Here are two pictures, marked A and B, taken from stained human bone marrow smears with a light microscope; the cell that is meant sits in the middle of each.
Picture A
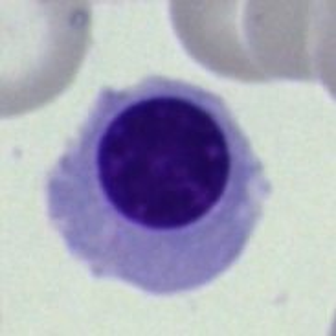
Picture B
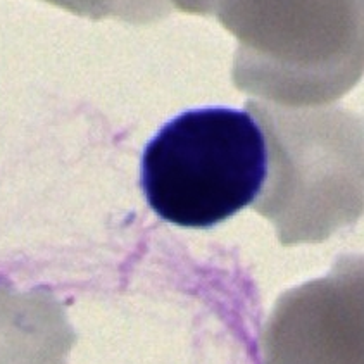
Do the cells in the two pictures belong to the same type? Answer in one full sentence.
No, they differ: the cell is an erythroblast in picture A and a lymphocyte in picture B.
